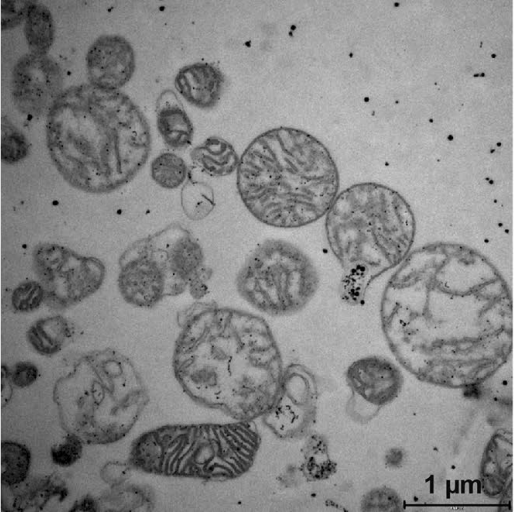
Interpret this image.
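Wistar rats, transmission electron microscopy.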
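These are isolated mitochondria lying free, with no cells or other tissue around them. Some are compact with many tightly packed cristae, while others are larger and paler, with fewer, scattered cristae, and a few have a loose outer rim around them. Small dark dots are sprinkled over the background and over some of the organelles.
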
